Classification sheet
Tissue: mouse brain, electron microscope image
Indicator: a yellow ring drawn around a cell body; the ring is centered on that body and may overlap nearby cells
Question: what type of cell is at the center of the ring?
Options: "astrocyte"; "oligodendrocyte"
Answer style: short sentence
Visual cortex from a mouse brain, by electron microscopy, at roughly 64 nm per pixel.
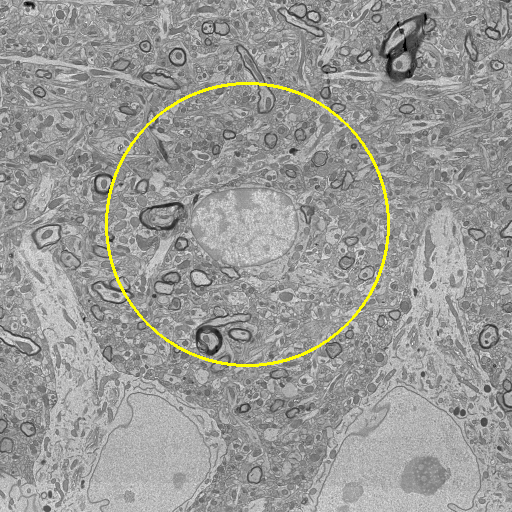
At the ring's center is an oligodendrocyte.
